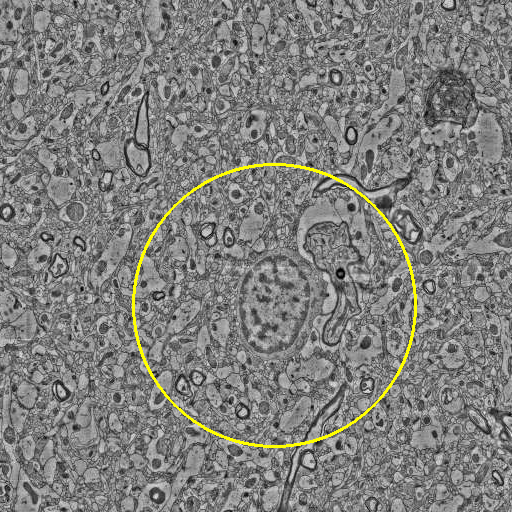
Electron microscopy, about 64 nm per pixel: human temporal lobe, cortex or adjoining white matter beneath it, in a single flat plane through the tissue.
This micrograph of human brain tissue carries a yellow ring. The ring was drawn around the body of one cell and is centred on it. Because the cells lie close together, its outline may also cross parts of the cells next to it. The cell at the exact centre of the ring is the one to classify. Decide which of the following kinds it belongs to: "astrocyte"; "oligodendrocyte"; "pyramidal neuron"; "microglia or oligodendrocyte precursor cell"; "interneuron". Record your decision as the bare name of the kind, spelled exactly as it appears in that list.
oligodendrocyte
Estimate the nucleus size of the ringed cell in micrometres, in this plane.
Roughly 6 by 4 micrometres is the size of the nucleus in this plane.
